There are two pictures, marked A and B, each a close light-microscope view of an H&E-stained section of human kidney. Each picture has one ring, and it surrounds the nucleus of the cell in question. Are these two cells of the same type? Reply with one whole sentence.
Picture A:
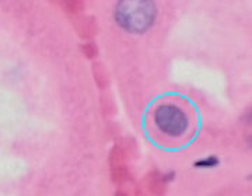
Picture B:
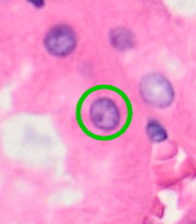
Yes, the two pictures both show proximal tubule cells.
